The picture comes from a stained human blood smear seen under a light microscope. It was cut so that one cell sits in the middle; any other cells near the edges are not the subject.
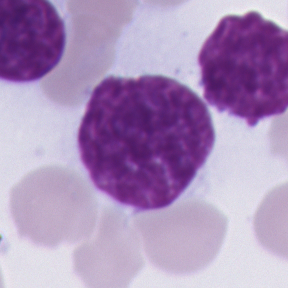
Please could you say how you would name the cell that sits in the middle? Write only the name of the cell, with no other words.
myeloblast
